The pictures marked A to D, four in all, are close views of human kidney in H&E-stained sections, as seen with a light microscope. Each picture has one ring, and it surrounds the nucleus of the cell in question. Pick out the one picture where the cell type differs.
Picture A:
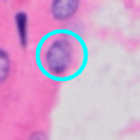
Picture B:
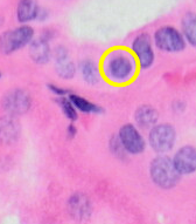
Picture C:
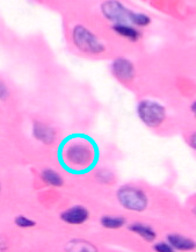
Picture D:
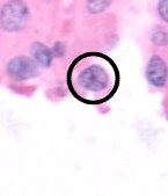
B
